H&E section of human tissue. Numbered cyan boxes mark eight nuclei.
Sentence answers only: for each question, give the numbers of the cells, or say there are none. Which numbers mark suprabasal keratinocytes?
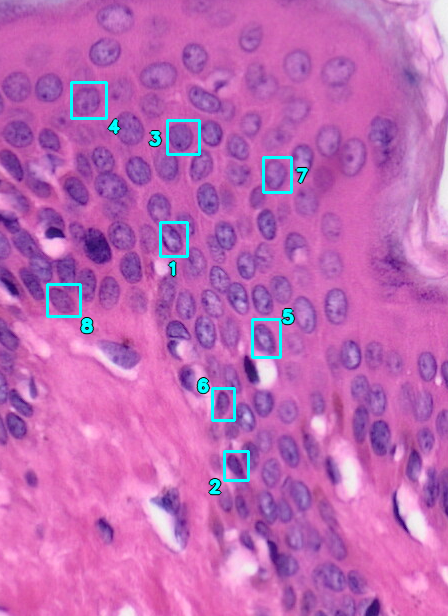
Cells 1, 3, 4, 5 and 7 are classified as suprabasal keratinocytes.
